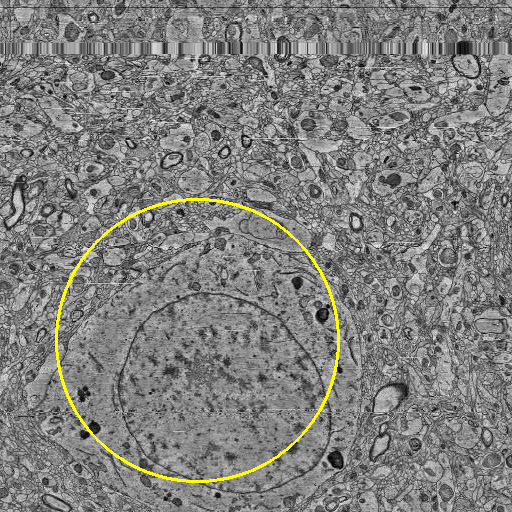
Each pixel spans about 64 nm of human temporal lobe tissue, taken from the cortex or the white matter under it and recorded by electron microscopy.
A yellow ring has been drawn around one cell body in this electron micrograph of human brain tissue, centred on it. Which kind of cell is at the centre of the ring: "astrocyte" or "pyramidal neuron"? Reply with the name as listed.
pyramidal neuron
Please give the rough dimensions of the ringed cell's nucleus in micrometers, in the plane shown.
In this plane, the nucleus measures approximately 14 micrometres across.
